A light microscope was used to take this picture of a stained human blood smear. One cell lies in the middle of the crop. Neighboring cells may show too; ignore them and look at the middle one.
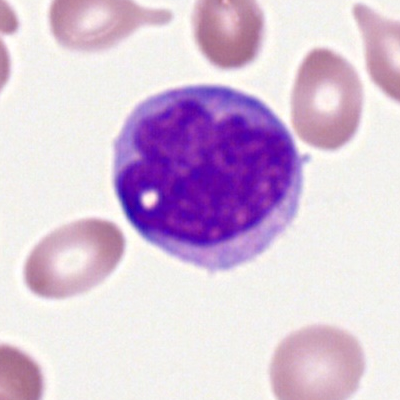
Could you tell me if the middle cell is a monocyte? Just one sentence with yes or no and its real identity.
Yes, the cell shown in the middle is a monocyte.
